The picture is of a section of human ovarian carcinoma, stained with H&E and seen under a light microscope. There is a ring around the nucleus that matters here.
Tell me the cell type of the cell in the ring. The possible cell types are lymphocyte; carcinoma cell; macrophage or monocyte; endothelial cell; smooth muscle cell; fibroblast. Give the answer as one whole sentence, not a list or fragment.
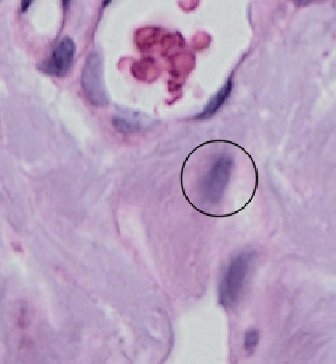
In cellular terms, the cell in the ring is an endothelial cell.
